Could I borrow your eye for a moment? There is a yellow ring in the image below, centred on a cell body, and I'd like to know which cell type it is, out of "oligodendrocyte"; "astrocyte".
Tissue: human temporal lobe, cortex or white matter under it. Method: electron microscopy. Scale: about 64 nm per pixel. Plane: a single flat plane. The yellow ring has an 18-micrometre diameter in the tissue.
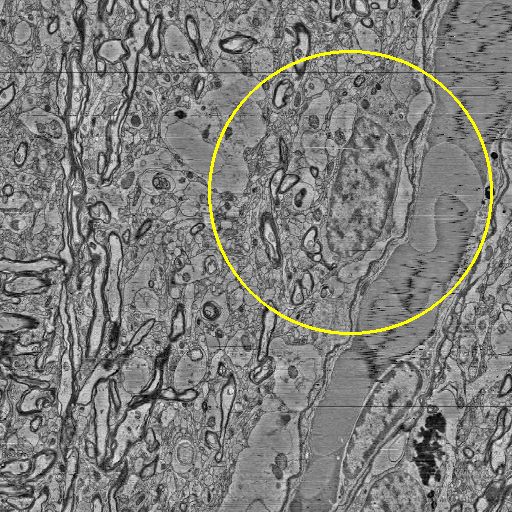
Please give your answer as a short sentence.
The cell body at the centre is that of an oligodendrocyte.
